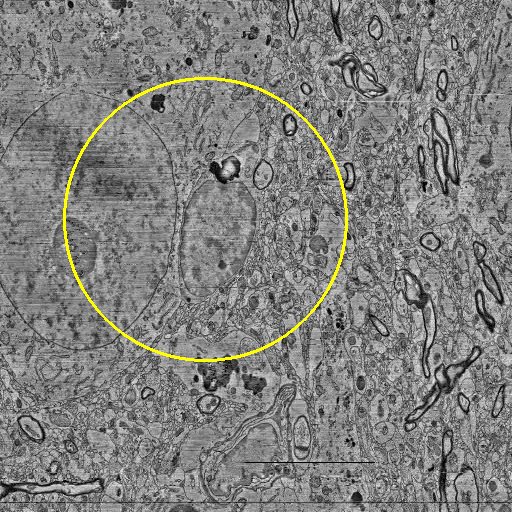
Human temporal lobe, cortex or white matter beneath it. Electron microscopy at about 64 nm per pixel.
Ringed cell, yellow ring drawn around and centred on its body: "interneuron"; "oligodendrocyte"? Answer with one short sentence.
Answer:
This ringed cell is an oligodendrocyte.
